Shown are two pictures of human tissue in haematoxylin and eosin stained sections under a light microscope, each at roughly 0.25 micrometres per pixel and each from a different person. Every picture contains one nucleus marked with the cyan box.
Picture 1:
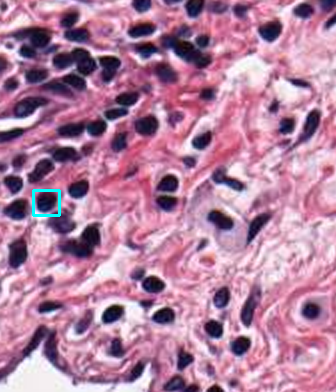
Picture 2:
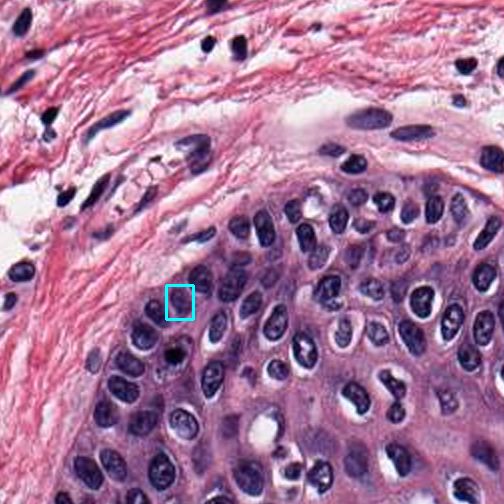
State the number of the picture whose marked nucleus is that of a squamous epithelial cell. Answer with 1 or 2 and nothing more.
2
